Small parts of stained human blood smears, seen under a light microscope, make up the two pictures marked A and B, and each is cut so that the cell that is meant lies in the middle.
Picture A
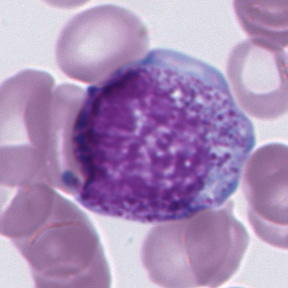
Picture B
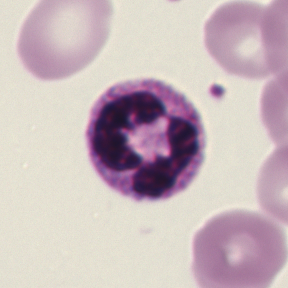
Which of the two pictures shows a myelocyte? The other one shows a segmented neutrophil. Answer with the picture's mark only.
A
